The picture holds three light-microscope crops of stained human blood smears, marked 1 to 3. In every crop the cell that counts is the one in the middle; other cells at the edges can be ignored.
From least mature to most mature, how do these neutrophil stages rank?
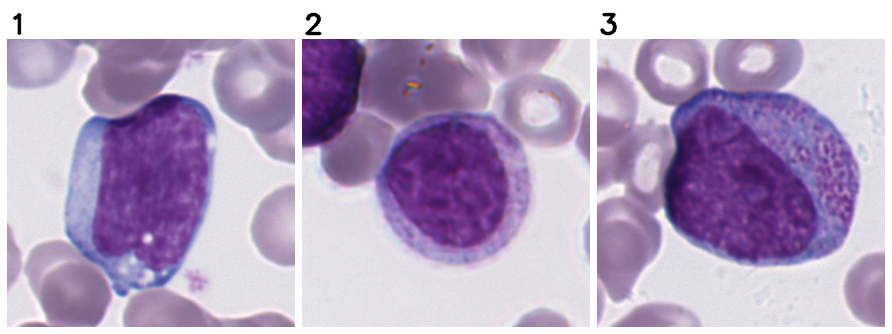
1, 3, 2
